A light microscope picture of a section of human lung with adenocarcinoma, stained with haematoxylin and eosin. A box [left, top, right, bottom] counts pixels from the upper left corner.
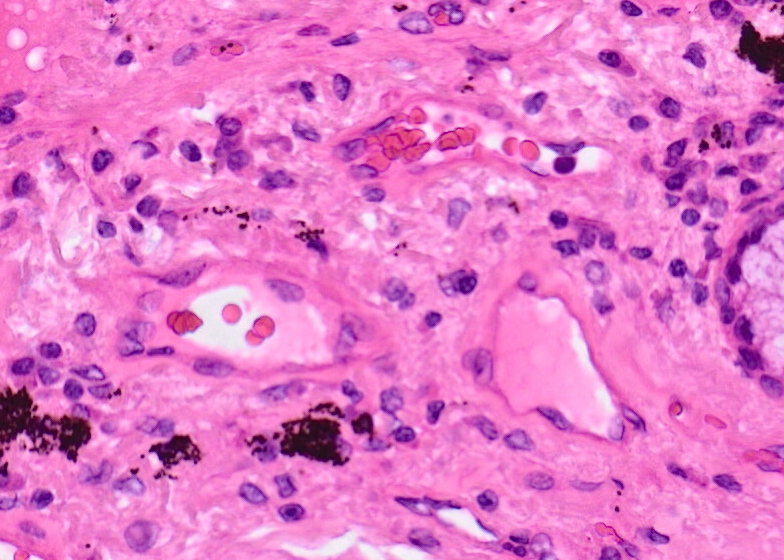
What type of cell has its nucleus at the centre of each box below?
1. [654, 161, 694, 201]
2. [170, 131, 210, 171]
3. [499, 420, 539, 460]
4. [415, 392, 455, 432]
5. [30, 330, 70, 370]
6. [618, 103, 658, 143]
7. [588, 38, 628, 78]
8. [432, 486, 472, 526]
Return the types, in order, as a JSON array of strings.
["plasma cell", "lymphocyte", "fibroblast", "lymphocyte", "lymphocyte", "lymphocyte", "plasma cell", "endothelial cell"]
